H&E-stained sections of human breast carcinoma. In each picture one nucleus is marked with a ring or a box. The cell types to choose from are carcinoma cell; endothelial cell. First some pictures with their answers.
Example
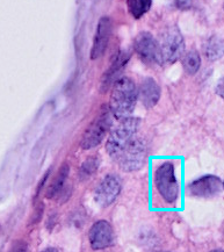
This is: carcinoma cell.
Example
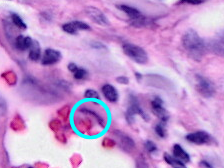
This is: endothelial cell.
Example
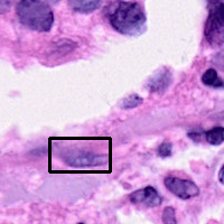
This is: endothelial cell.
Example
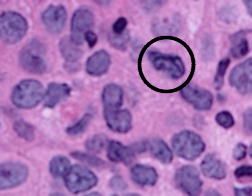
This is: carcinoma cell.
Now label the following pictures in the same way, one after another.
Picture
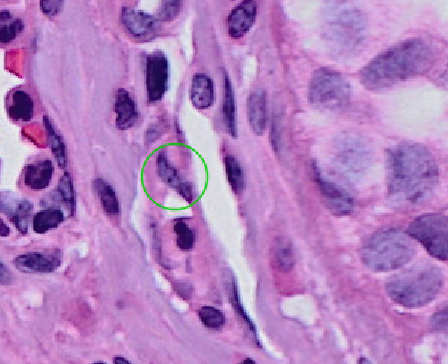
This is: endothelial cell.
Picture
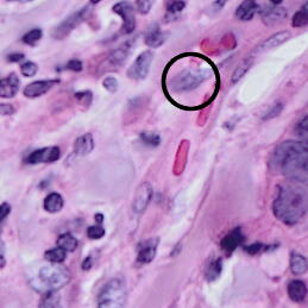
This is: endothelial cell.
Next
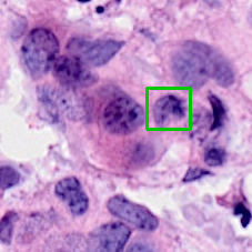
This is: carcinoma cell.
